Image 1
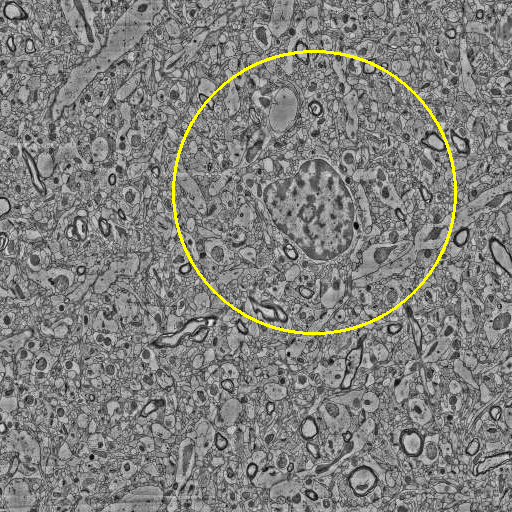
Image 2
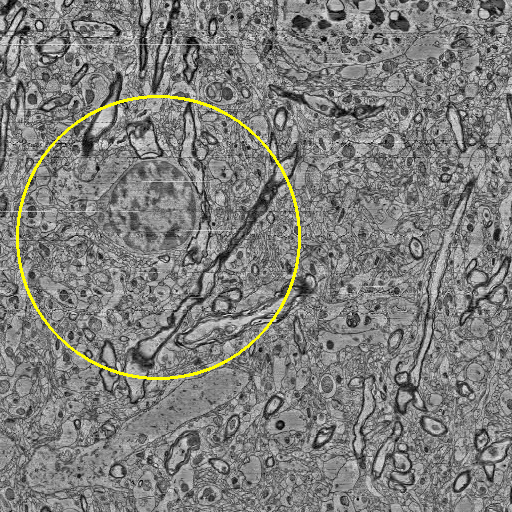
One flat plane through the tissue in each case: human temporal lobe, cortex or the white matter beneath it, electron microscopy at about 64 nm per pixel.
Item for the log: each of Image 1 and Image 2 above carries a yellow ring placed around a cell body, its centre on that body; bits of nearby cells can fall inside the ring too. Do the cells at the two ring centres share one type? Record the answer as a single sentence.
No, the two cells at the ring centres in Image 1 and Image 2 are of two types.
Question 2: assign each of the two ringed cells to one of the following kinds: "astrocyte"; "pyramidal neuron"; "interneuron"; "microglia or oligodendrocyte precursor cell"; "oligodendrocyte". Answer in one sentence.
The two cells are a microglial cell or oligodendrocyte precursor cell in the first picture and an oligodendrocyte in the second.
